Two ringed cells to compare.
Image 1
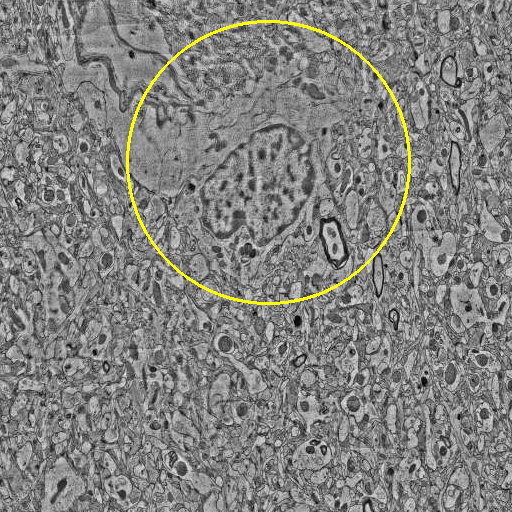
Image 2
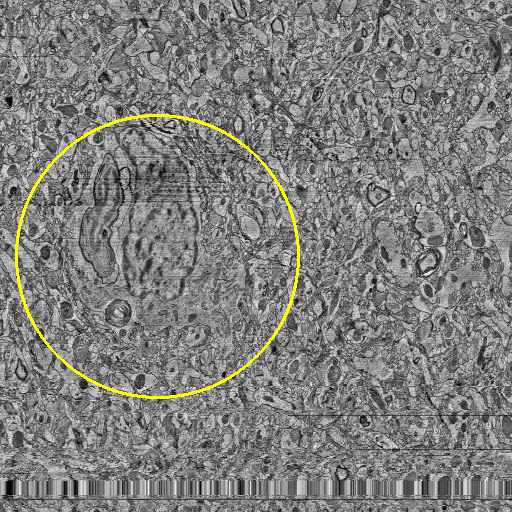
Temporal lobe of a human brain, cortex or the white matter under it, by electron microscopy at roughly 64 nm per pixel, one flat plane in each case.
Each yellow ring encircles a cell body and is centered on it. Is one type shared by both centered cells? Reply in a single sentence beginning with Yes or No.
Yes, a single type is shared by the two cells at the centers of the rings.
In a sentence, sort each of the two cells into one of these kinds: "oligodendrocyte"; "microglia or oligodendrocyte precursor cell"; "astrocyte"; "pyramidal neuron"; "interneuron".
In each of the two pictures, the ringed cell is a microglial cell or oligodendrocyte precursor cell.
